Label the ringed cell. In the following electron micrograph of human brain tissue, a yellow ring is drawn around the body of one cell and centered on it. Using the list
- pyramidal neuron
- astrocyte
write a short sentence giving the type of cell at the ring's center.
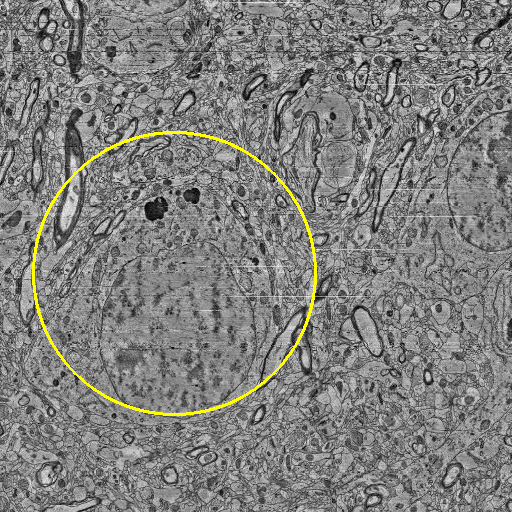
The cell body at the ring's center is that of a pyramidal neuron.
